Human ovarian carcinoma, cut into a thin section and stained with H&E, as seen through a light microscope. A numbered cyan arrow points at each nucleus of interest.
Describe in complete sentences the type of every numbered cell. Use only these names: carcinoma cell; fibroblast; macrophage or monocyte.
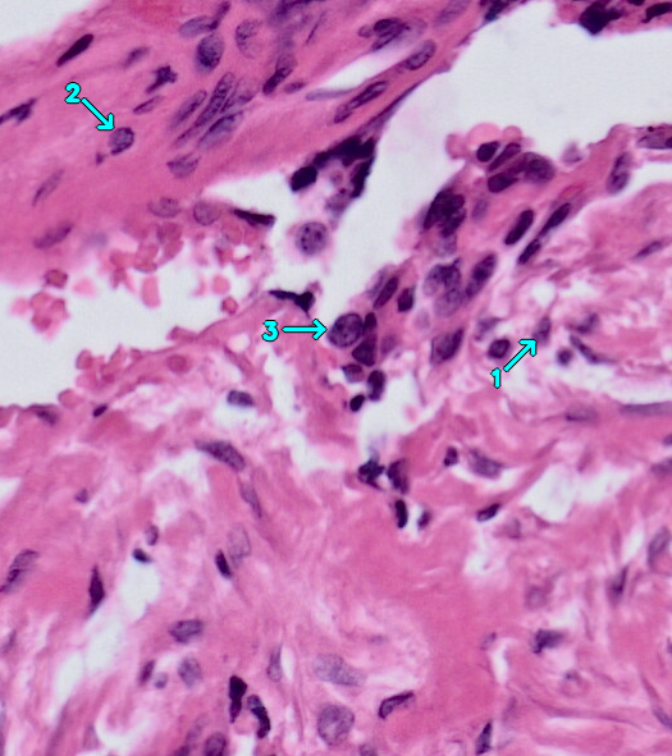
Cell 1 is a fibroblast. Cell 2 is a macrophage or monocyte. Cell 3 is a carcinoma cell.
